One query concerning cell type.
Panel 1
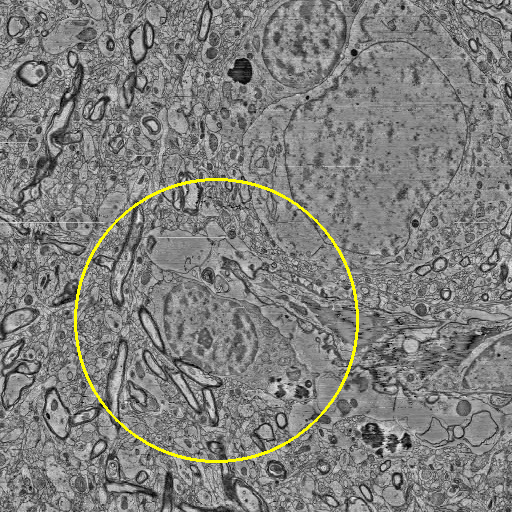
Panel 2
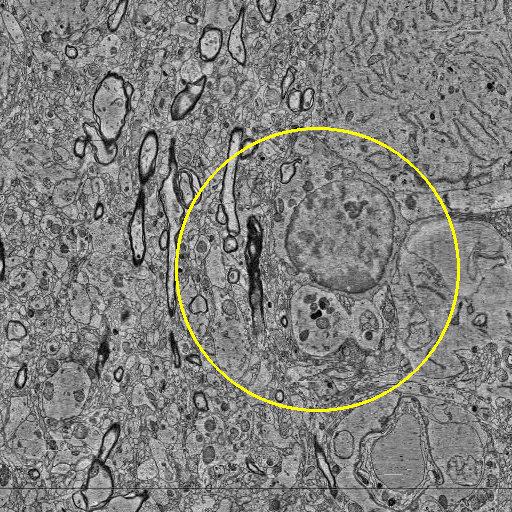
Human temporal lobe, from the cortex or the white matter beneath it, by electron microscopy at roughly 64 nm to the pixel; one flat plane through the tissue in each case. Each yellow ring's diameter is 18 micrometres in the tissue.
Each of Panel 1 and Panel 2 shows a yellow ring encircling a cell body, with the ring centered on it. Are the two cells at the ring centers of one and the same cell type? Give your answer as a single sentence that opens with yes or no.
Yes, the cell centered in Panel 1 and the one in Panel 2 share a type.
